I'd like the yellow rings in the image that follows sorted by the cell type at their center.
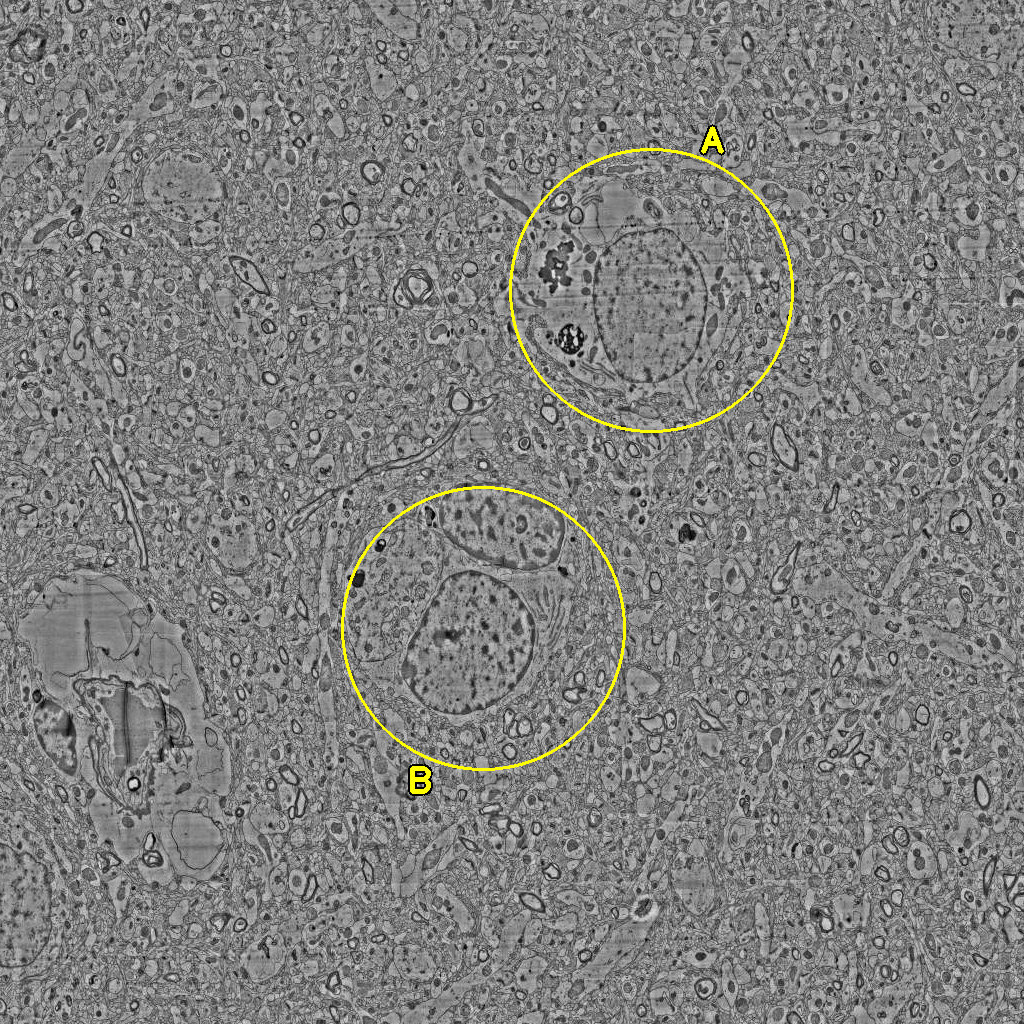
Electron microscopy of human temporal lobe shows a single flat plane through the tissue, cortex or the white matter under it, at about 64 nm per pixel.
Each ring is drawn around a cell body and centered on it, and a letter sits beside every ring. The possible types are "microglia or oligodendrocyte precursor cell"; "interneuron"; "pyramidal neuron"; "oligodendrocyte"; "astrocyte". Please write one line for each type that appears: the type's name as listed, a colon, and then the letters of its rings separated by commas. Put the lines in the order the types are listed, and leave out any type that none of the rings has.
microglia or oligodendrocyte precursor cell: B
astrocyte: A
